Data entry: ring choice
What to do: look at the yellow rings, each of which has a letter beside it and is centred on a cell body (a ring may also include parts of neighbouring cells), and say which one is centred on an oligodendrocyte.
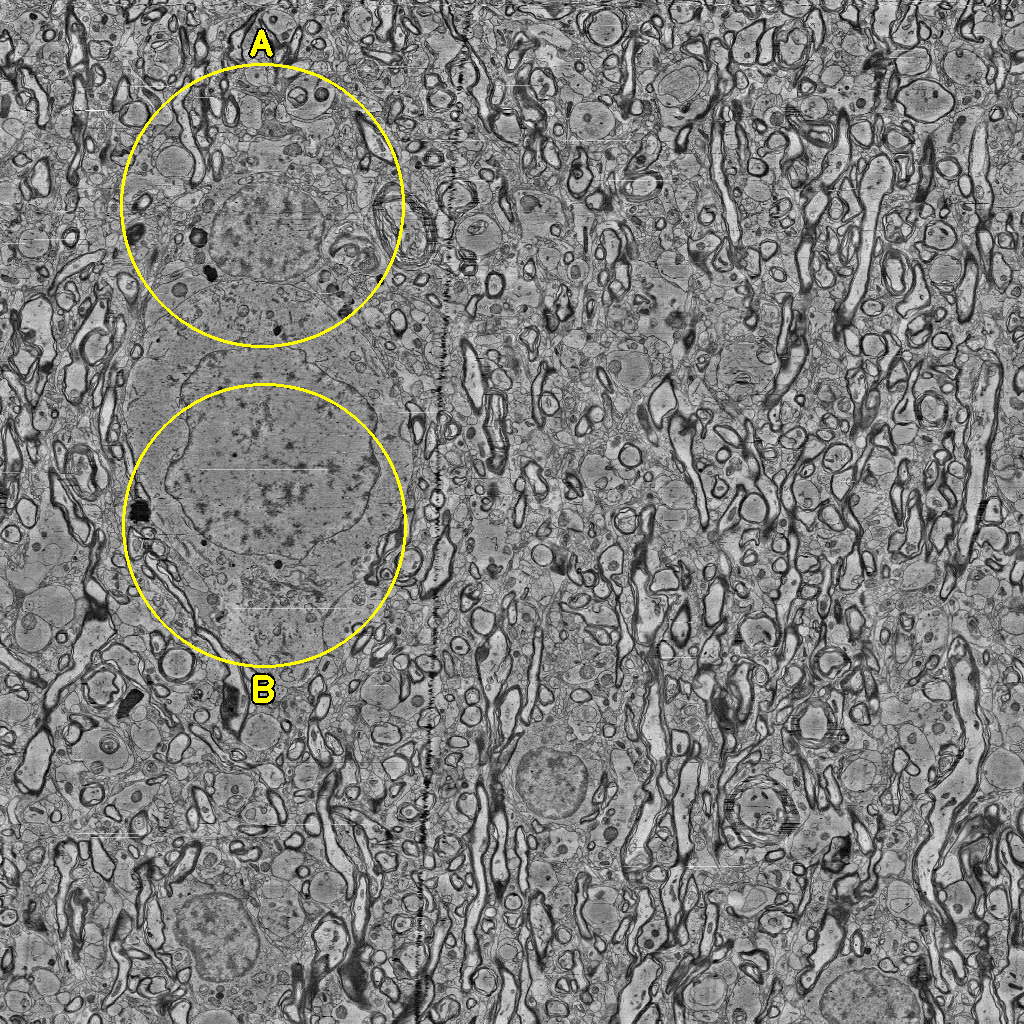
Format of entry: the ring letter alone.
A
